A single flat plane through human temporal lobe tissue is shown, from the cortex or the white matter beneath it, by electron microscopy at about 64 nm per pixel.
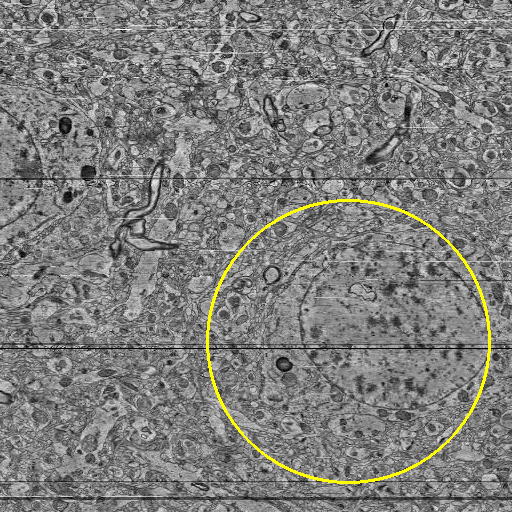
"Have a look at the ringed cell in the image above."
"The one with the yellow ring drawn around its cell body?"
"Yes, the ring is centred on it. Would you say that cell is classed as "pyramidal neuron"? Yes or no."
yes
